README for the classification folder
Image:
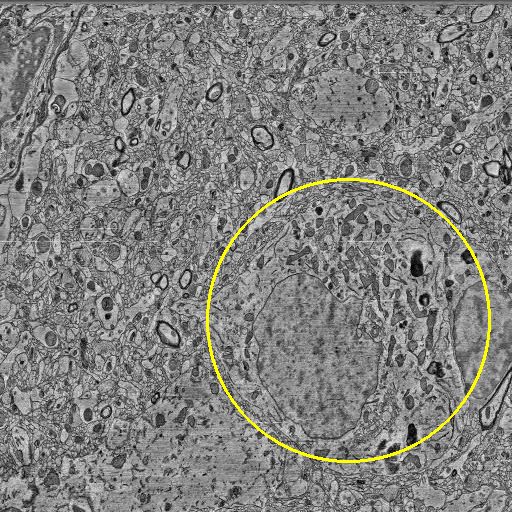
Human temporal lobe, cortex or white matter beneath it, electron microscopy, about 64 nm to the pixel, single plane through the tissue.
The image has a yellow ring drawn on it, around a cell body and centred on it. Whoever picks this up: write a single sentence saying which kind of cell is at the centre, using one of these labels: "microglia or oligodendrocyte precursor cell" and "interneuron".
This cell body is that of an interneuron.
